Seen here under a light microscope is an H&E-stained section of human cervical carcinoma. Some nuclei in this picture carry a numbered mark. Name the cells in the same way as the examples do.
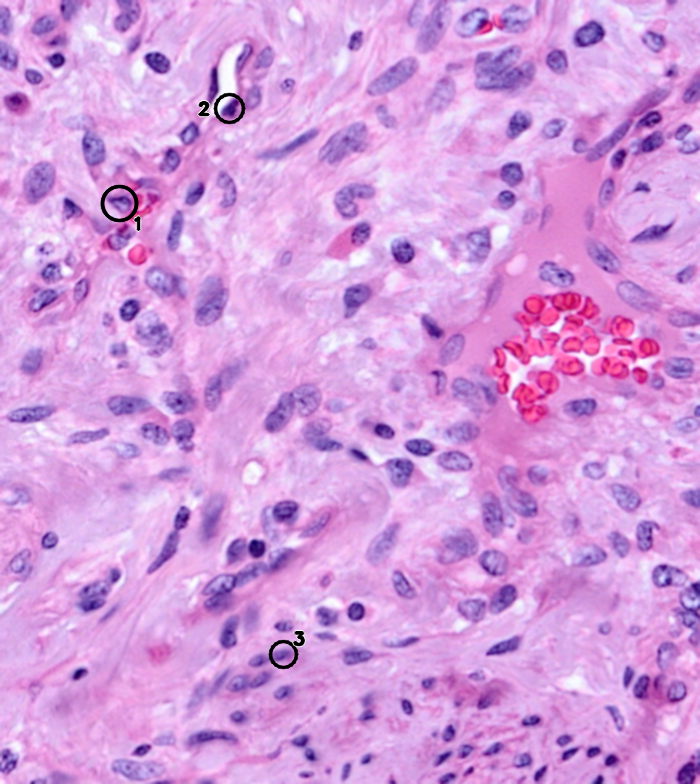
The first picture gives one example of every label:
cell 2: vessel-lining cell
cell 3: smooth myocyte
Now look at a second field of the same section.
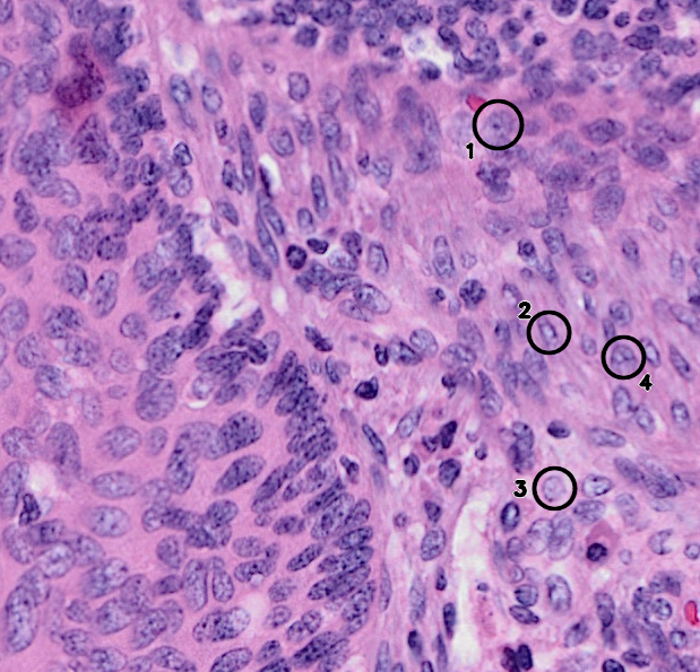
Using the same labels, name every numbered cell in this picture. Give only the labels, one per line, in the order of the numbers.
vessel-lining cell
smooth myocyte
vessel-lining cell
smooth myocyte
